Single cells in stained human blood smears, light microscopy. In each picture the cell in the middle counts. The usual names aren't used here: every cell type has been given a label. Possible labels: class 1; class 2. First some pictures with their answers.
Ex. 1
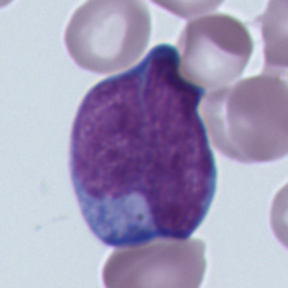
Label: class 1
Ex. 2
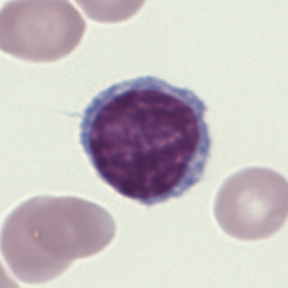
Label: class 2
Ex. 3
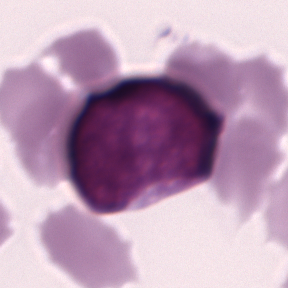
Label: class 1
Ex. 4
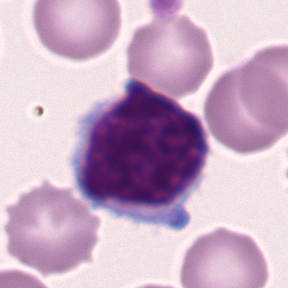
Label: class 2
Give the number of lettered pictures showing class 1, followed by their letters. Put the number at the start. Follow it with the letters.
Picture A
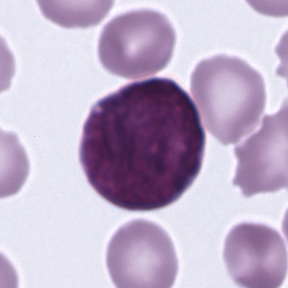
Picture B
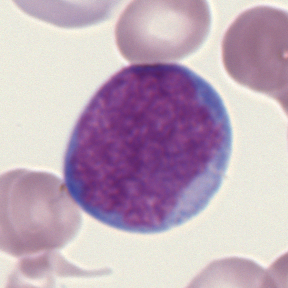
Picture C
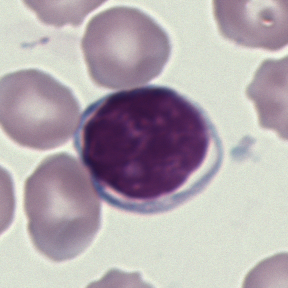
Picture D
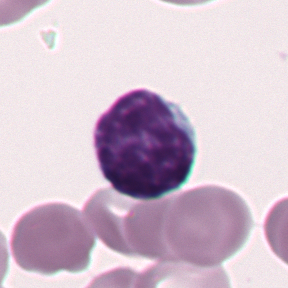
Count: 2 (A, B)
